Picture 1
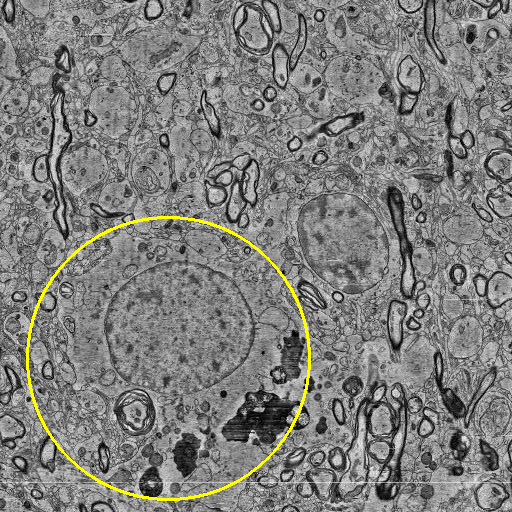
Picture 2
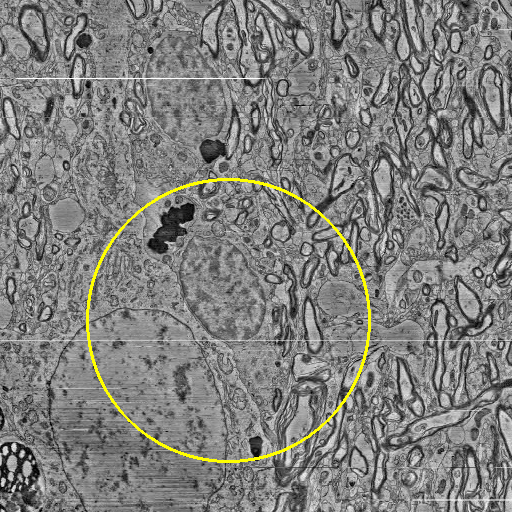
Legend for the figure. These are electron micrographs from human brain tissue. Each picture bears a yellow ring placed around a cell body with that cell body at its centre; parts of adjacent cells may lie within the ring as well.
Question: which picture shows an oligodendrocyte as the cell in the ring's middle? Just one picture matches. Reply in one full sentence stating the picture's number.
It is picture 2 whose yellow ring is centred on the requested cell.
